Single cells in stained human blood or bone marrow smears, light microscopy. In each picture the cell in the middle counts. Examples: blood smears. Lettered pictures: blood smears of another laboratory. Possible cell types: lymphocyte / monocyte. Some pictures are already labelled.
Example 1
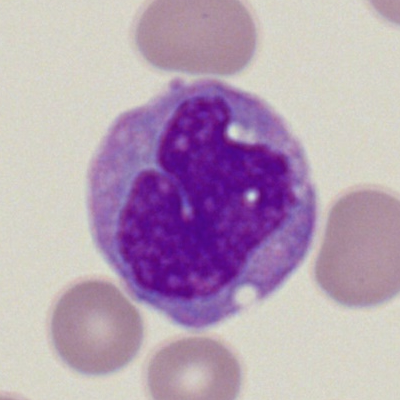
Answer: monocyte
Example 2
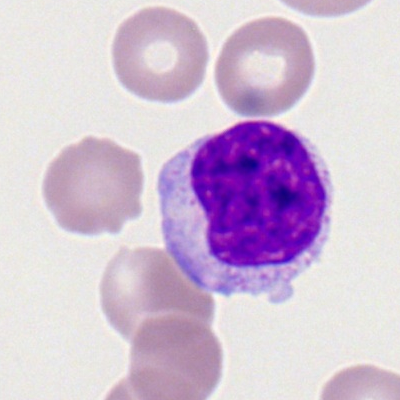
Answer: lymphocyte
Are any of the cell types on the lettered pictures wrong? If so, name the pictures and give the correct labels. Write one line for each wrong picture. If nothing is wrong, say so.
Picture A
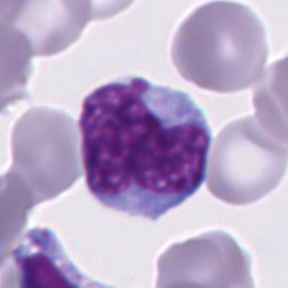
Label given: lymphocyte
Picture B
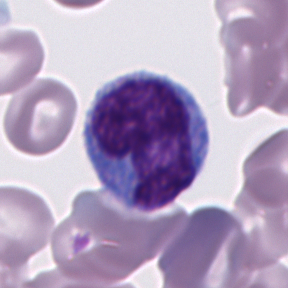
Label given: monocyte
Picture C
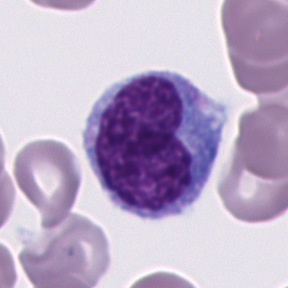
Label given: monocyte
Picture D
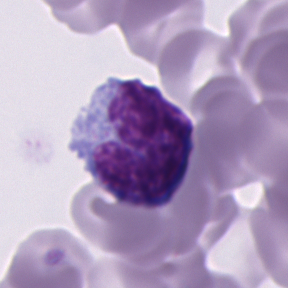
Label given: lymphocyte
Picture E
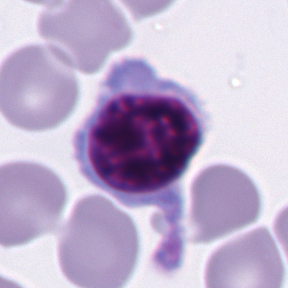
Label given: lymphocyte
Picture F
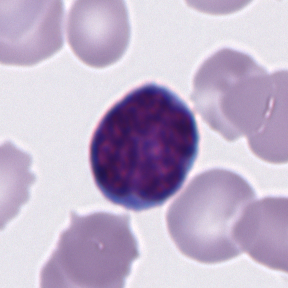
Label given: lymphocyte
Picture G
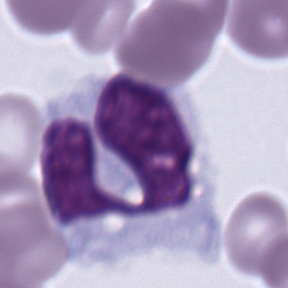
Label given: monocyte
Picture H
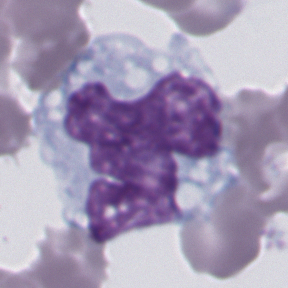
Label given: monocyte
None of the labels needs changing.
